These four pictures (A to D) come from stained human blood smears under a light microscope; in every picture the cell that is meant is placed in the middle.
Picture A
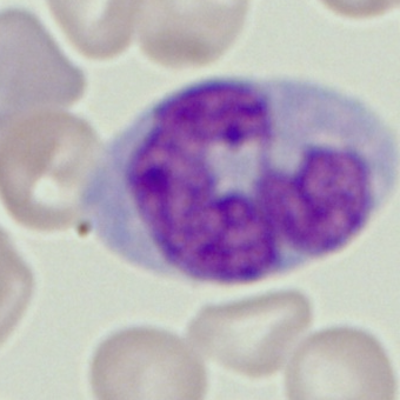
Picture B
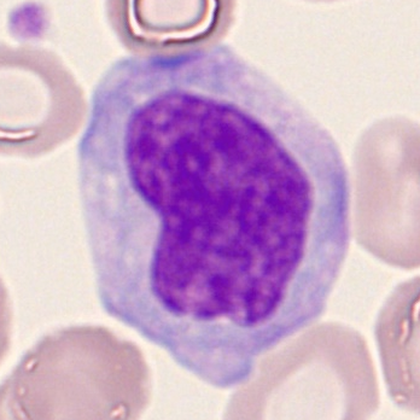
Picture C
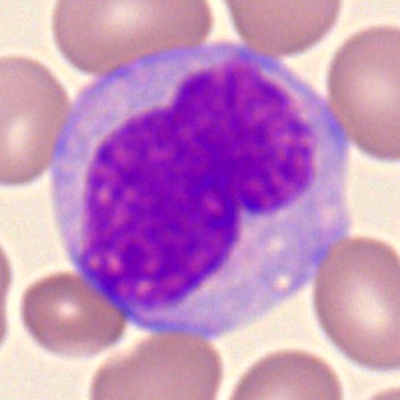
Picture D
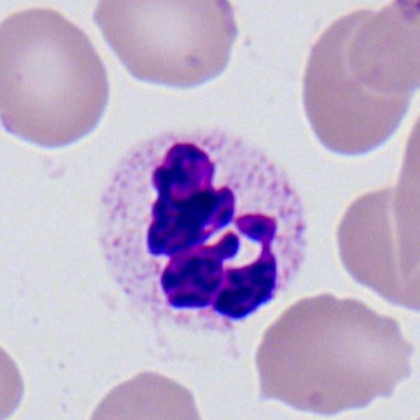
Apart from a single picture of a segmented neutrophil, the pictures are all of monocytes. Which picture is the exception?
D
